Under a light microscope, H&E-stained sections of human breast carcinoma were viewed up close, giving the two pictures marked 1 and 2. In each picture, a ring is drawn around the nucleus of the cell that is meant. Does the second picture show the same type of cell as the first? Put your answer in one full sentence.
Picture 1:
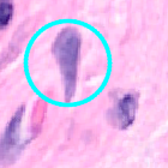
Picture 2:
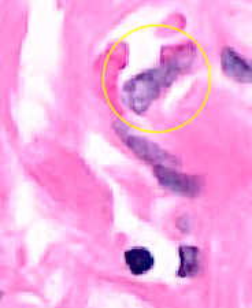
Yes, the two pictures both show endothelial cells.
